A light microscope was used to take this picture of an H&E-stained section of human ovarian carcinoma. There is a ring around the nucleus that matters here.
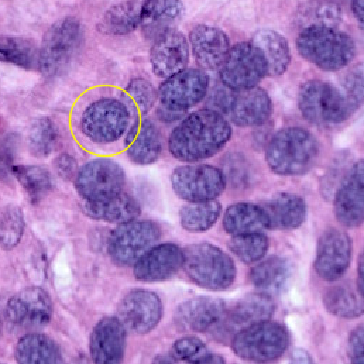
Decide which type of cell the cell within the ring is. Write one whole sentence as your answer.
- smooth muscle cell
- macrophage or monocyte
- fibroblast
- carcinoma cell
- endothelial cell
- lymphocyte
It is as a carcinoma cell that the cell within the ring is recorded.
